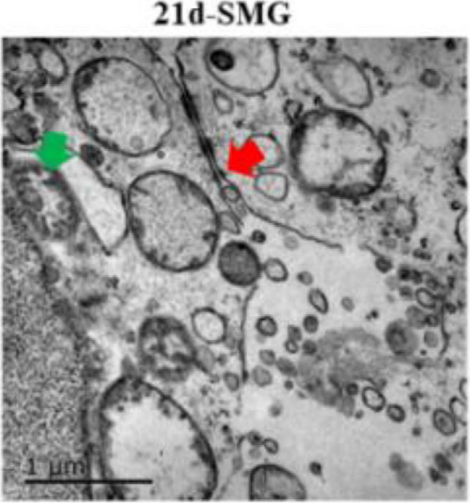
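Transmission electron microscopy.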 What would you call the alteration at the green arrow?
Unclear mitochondrial membrane structures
